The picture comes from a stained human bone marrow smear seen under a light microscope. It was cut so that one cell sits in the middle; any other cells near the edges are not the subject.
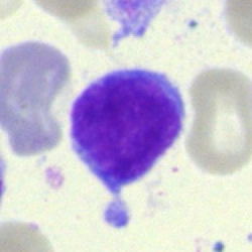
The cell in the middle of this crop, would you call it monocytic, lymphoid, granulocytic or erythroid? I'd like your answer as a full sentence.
The middle cell should be classed under the lymphoid lineage.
